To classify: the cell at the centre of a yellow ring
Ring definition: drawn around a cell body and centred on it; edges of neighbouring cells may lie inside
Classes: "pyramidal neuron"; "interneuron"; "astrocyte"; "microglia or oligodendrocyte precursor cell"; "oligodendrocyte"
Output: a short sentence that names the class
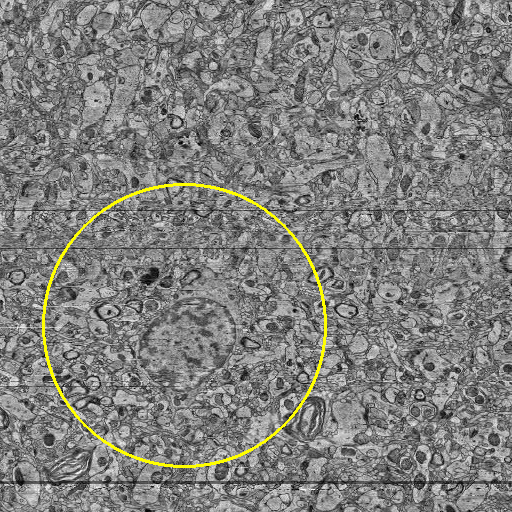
The ringed cell is an oligodendrocyte.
